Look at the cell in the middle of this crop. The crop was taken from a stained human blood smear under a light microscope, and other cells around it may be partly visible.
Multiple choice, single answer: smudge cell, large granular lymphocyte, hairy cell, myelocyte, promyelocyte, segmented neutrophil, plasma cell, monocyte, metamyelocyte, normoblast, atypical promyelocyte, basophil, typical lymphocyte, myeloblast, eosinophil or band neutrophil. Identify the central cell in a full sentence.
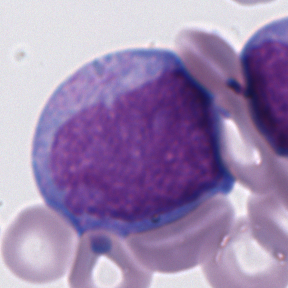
The cell in the exact centre of the crop is a promyelocyte.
